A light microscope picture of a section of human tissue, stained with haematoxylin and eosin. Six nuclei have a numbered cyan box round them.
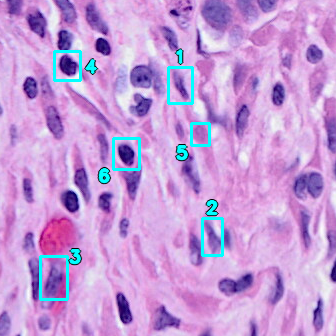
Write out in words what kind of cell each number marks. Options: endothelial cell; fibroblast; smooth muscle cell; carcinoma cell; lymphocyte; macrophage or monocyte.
Cells 1, 2 and 5 are fibroblasts. Cell 3 is an endothelial cell. Cells 4 and 6 are lymphocytes.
